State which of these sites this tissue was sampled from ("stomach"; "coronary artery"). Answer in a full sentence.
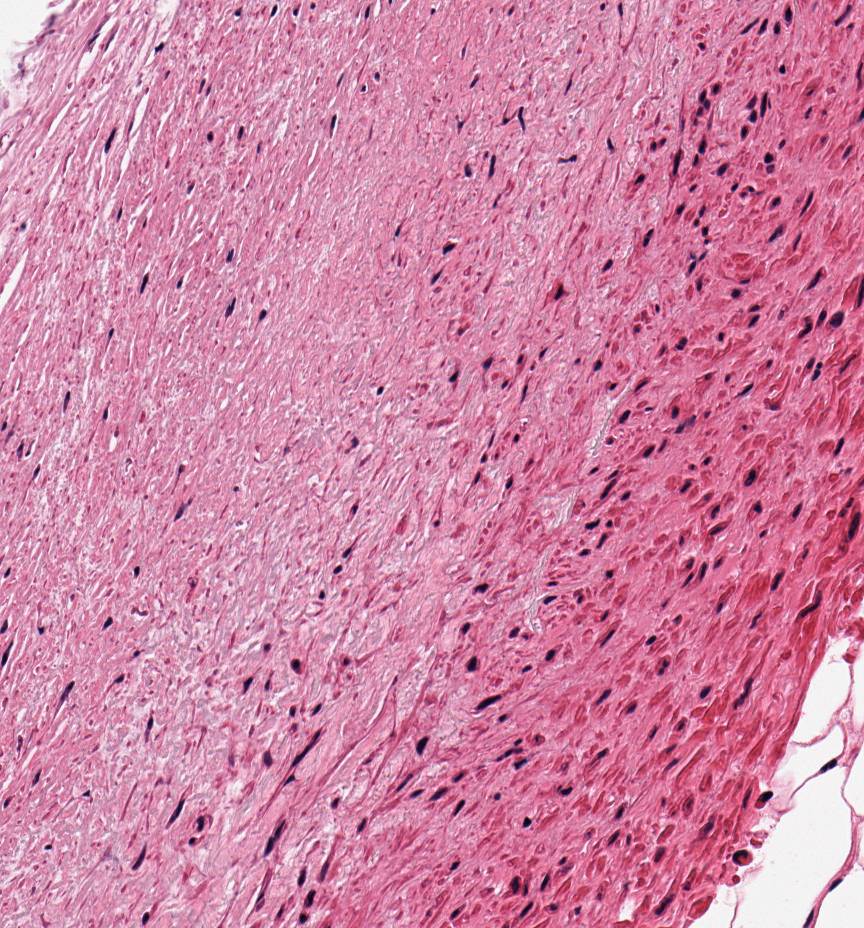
The site this tissue was sampled from is the coronary artery.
